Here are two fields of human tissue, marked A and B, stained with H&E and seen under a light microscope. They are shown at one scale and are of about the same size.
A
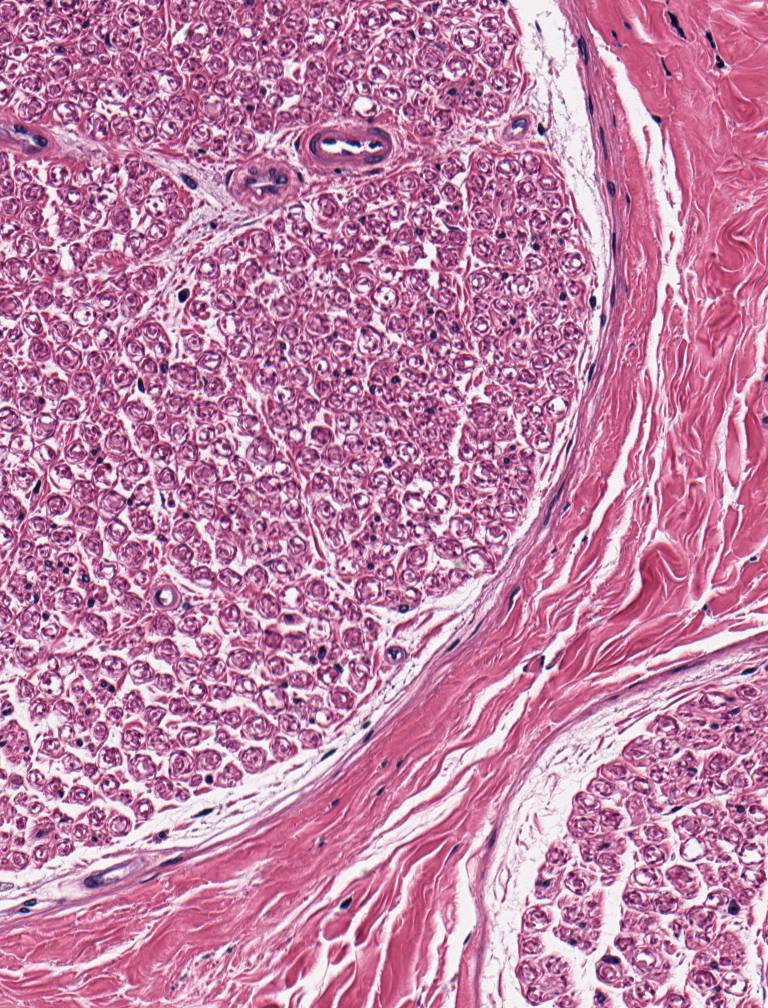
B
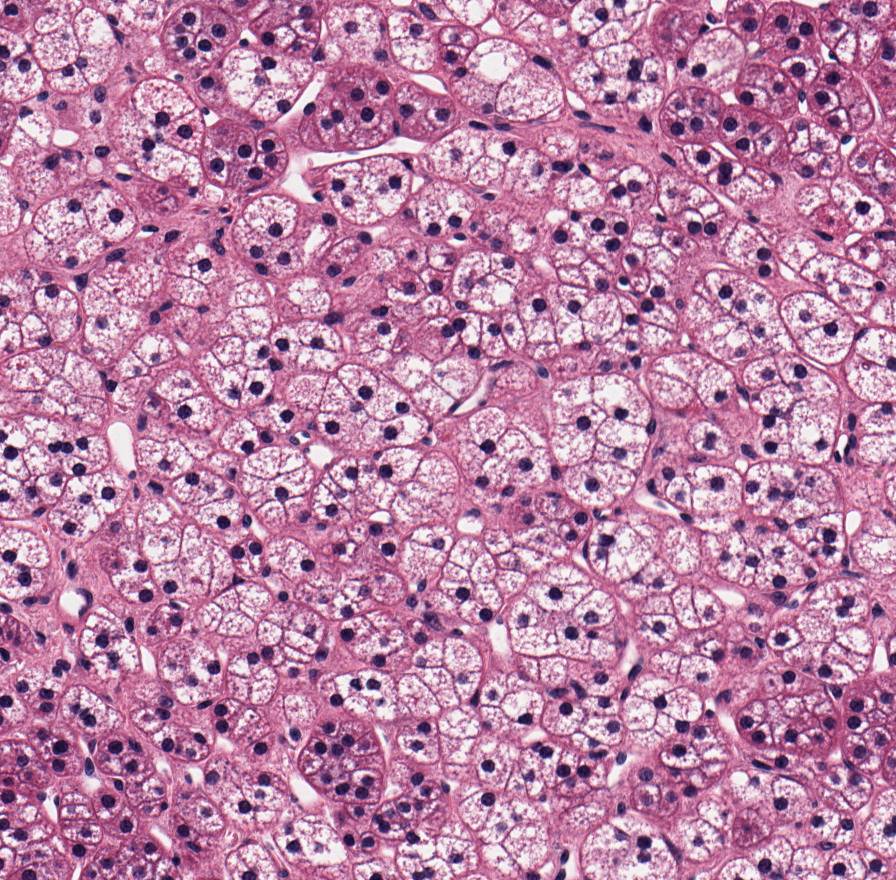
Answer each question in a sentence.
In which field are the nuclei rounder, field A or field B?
On the whole the nuclei of field B are rounder than those of field A.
